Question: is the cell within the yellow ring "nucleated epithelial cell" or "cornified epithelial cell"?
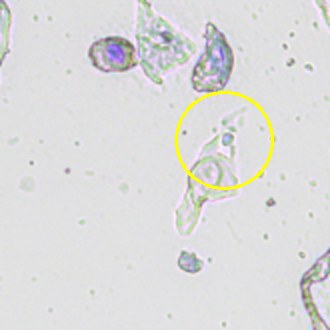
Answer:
cornified epithelial cell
